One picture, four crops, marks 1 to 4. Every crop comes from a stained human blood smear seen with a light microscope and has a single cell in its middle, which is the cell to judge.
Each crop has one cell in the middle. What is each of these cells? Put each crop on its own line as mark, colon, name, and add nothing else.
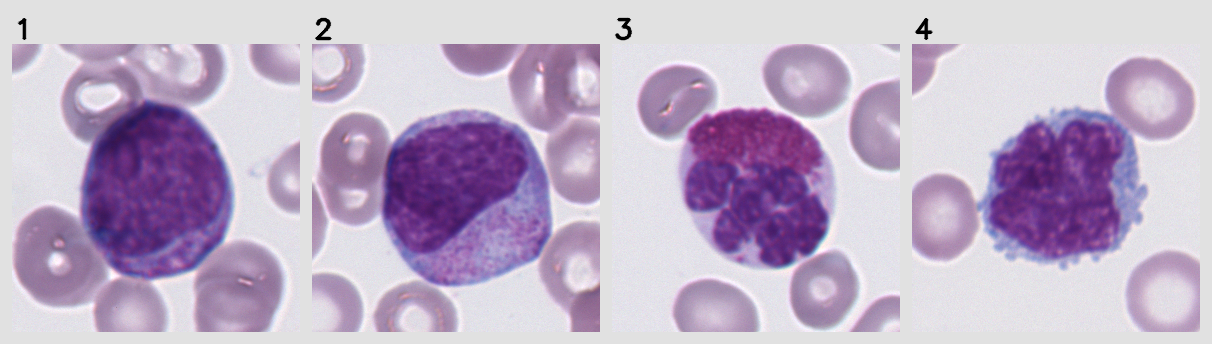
1: promyelocyte
2: atypical promyelocyte
3: eosinophil
4: monocyte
